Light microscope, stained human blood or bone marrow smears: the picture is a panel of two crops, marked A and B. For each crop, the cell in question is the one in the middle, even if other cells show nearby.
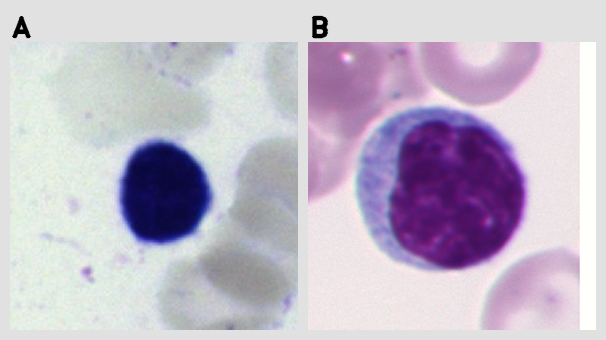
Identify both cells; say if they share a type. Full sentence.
Yes, both crops contain lymphocytes at their centres.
